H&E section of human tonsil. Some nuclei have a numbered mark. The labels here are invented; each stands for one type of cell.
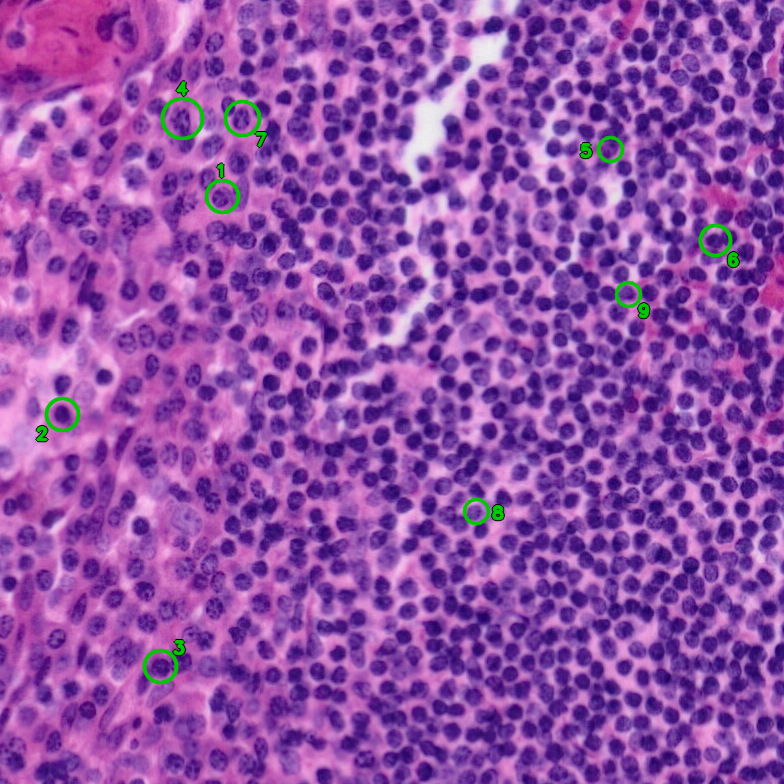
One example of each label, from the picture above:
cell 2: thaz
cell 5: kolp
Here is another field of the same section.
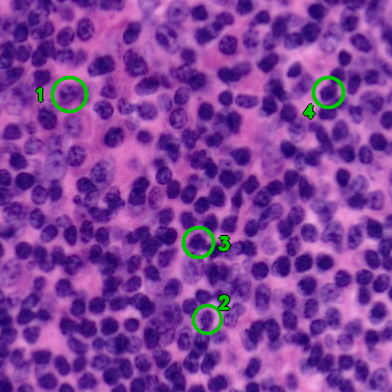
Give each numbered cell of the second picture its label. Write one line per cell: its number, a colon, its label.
1: thaz
2: kolp
3: kolp
4: kolp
